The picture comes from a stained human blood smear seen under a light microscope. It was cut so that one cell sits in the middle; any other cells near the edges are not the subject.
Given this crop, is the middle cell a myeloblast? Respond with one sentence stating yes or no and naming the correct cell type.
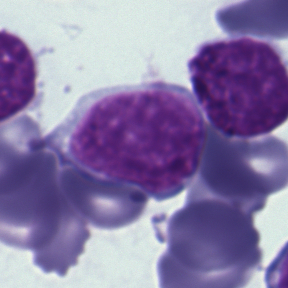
Yes, the cell in the center of this crop is a myeloblast.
